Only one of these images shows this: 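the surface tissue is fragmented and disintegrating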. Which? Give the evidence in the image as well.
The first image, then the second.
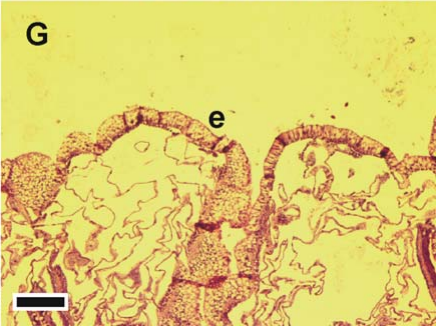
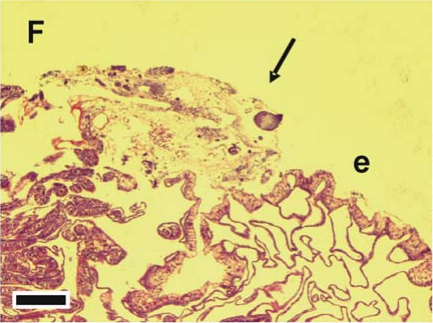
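Second image: the outer surface is broken up into a pale, loose, ragged mass with detached dark fragments.
Hence: the second image.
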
